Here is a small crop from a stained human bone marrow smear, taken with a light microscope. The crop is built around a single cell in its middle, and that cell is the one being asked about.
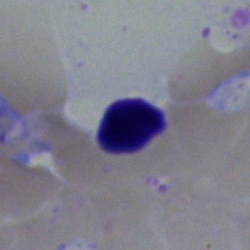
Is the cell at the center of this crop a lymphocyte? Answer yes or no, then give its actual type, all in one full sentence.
No, the cell found centrally in the crop is an erythroblast, not a lymphocyte.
